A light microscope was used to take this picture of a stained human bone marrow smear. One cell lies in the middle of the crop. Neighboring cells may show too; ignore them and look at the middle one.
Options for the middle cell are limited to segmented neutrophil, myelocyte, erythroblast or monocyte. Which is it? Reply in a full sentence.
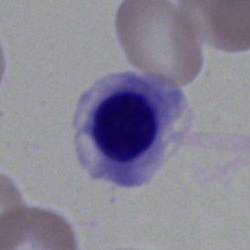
Classified as an erythroblast is the cell in the middle of this crop.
